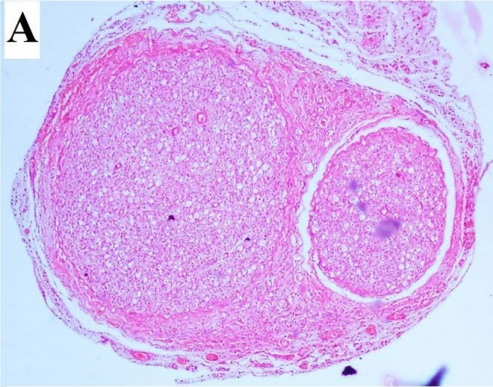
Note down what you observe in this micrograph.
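This cross-section of a peripheral nerve shows two rounded nerve bundles, a large one and a smaller one beside it. Around both lies a looser pink connective tissue layer containing small blood vessels.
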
